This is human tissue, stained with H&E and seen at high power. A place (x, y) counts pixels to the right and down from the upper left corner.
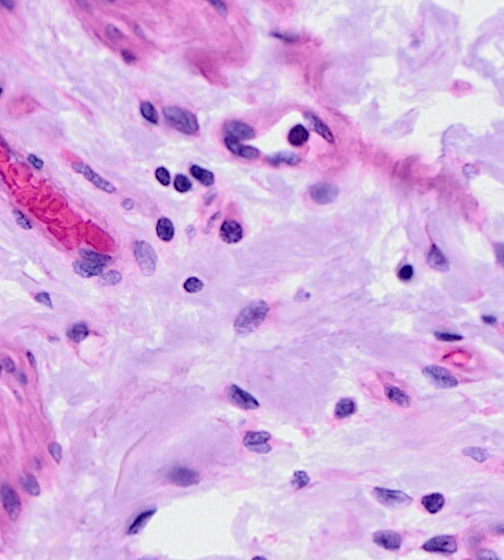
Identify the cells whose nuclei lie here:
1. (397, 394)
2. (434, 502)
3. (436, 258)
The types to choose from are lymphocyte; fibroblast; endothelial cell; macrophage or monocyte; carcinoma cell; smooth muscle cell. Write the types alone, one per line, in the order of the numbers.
endothelial cell
lymphocyte
fibroblast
